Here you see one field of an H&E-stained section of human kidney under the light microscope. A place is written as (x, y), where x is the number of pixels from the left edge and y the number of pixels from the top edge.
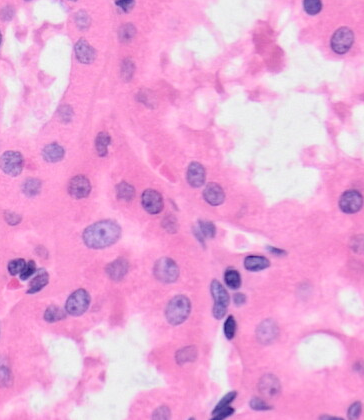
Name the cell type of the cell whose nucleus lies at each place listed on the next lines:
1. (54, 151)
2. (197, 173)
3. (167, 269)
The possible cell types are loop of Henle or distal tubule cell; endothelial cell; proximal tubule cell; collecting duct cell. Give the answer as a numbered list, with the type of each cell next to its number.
1. loop of Henle or distal tubule cell
2. proximal tubule cell
3. proximal tubule cell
